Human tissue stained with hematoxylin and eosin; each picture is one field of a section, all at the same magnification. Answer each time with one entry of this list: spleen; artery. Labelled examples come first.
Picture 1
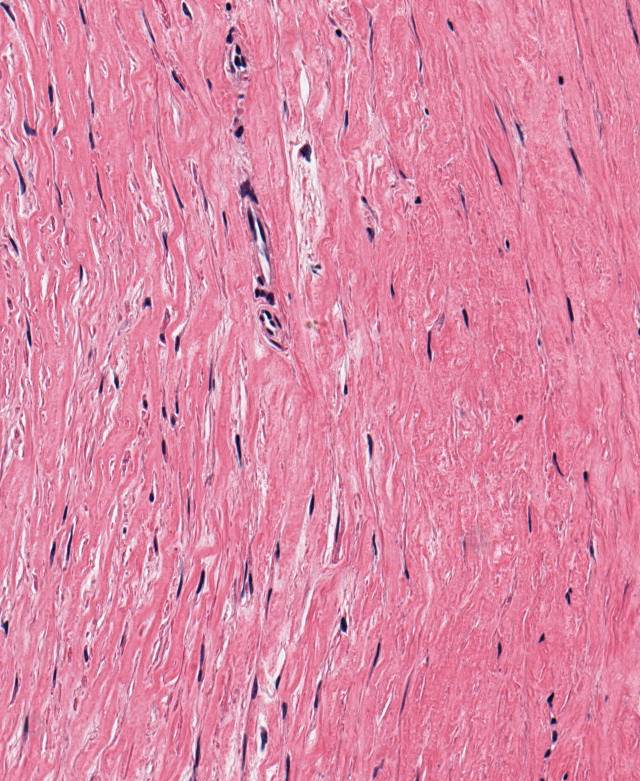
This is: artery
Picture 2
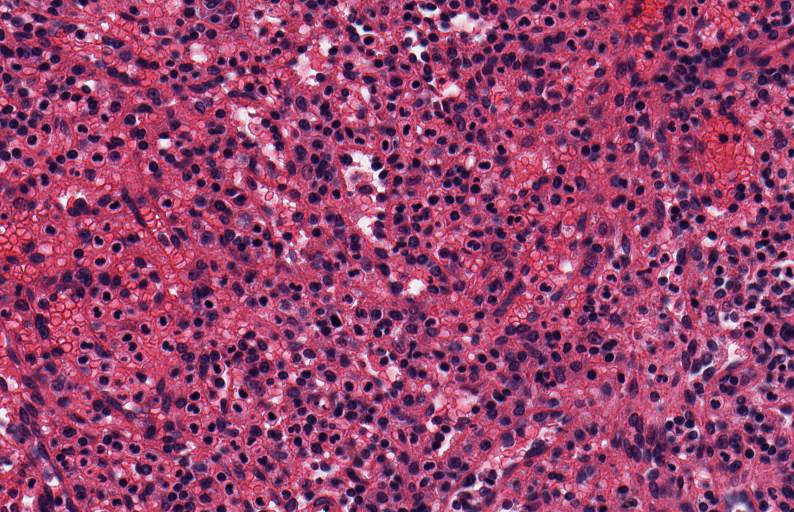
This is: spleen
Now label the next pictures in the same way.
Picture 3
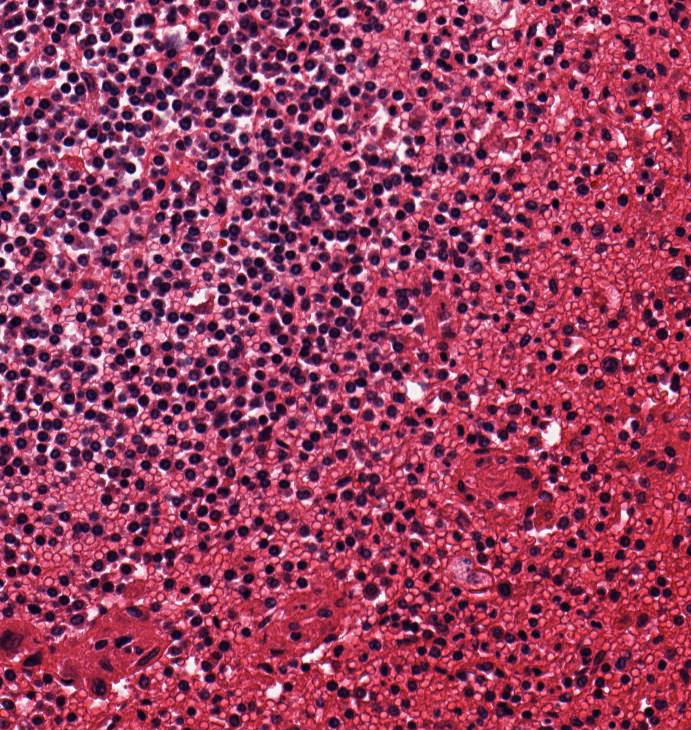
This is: spleen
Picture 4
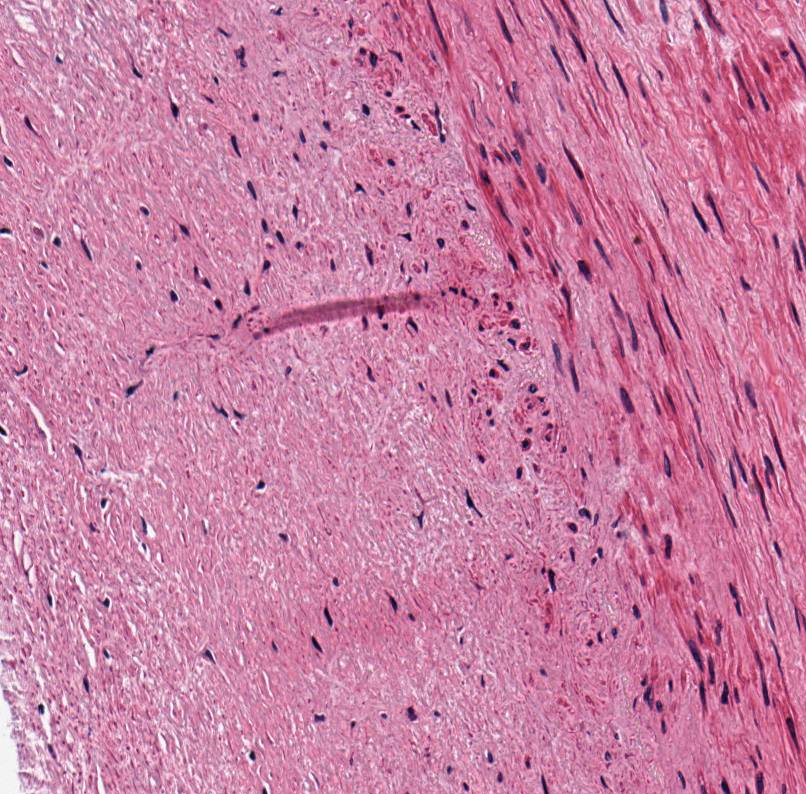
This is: artery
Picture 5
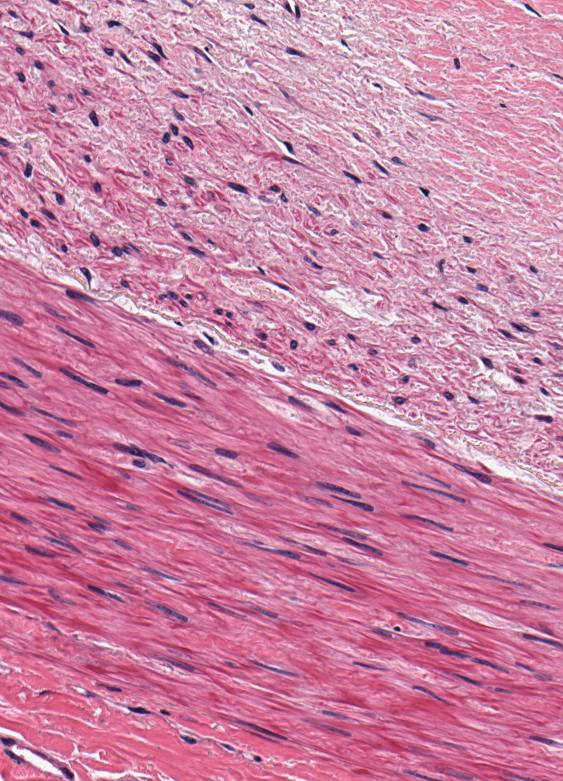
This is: artery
